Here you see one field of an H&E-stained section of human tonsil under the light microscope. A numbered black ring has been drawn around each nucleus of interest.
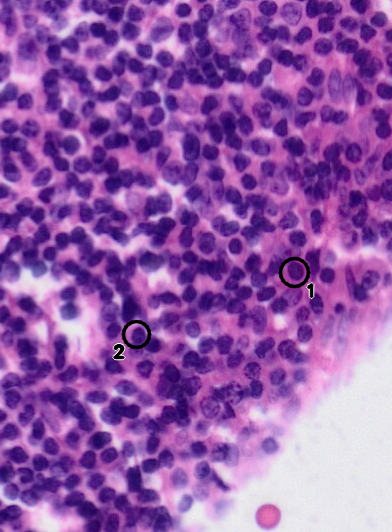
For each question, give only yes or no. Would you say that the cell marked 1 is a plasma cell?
yes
